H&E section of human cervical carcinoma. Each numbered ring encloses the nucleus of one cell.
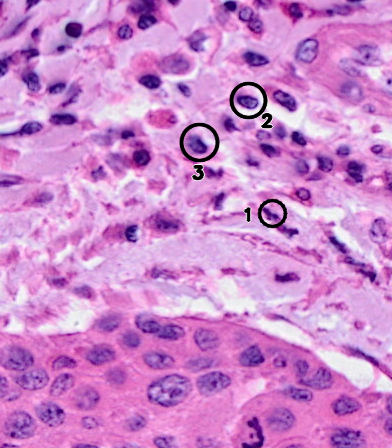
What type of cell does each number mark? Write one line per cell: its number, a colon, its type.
1: fibroblast
2: lymphocyte
3: lymphocyte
